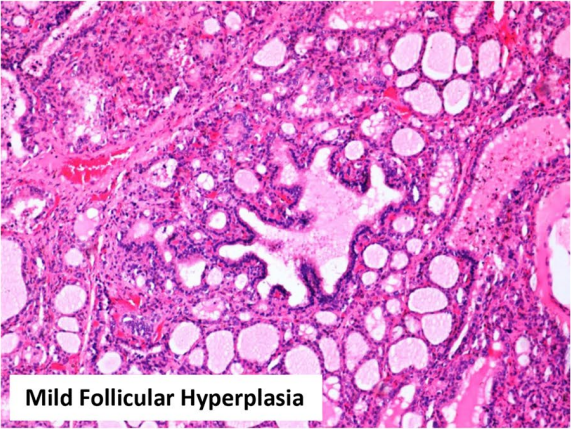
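Thyroid tissue made of many follicles, round to oval spaces filled with pale pink colloid, each rimmed by a single layer of follicular cells with small dark nuclei. The follicles vary somewhat in size but are mostly small to medium. Between them lies cellular pink stroma with scattered nuclei and a few red vessels. Near the centre a larger follicle has a lining thrown into thin, finger-like pseudo-papillary projections extending into its lumen; such projections are few and slender elsewhere. Larger colloid-filled spaces lie at the edges of the field.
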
